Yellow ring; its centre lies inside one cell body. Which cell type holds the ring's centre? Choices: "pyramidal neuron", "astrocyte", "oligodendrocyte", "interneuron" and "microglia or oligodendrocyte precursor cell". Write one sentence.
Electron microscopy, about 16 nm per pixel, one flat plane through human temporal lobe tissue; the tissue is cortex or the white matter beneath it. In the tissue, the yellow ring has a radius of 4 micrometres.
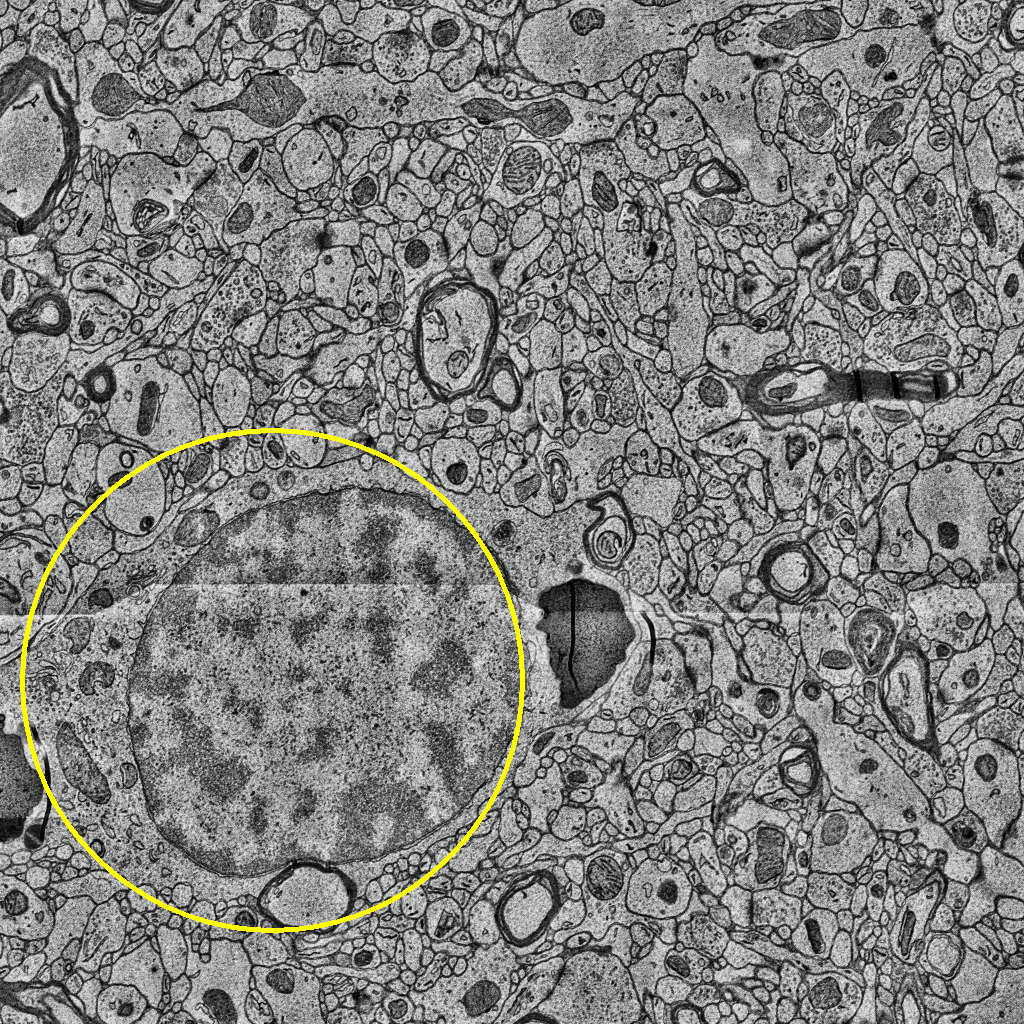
At the centre of the ring sits an oligodendrocyte.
